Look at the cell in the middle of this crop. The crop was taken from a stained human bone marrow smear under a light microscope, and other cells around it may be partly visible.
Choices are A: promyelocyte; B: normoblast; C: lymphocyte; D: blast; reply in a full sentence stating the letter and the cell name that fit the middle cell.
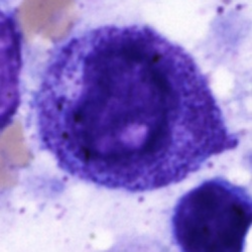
The cell in the center of this crop is a promyelocyte, so option A is the one to pick.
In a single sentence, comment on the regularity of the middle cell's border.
The cytoplasmic margin is uneven, whether through ragged segments or through projections.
